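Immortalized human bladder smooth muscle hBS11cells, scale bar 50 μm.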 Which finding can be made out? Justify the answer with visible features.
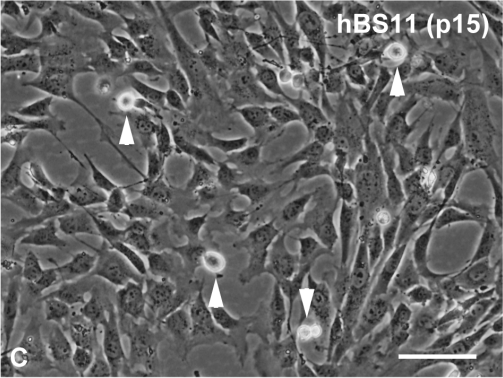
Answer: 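Compact and rhomboid shape. Cells are small and densely packed. Many cells have angular, polygonal outlines.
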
